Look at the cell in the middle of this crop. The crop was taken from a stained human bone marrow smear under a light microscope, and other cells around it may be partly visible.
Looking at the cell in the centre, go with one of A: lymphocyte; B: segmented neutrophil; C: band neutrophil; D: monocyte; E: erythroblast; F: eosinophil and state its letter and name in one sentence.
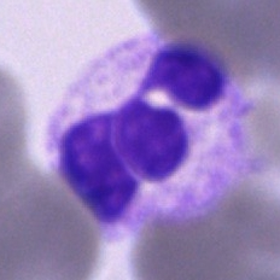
The correct option, B, names the middle cell as a segmented neutrophil.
